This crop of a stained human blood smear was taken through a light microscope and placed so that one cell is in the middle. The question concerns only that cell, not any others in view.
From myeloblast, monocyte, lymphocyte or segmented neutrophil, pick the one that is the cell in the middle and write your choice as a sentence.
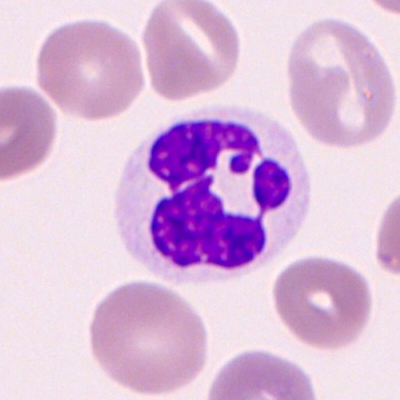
The identification for the central cell is a segmented neutrophil.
